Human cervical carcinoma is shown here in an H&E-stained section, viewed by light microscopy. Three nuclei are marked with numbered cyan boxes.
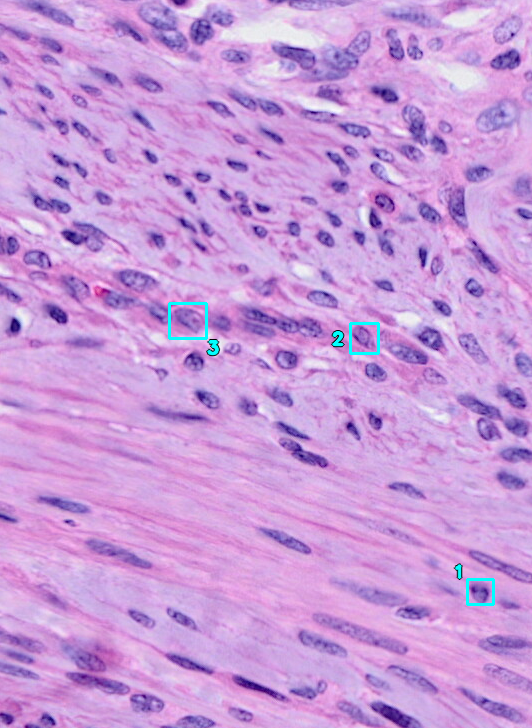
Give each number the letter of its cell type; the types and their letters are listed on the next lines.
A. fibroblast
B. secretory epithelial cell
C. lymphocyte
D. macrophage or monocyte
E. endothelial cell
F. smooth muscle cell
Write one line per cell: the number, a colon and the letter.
1: F
2: E
3: E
